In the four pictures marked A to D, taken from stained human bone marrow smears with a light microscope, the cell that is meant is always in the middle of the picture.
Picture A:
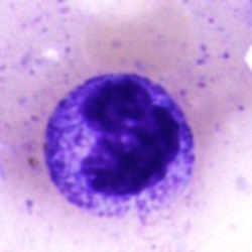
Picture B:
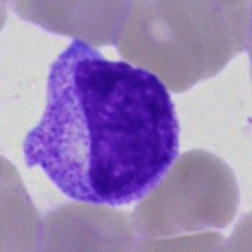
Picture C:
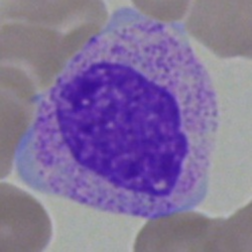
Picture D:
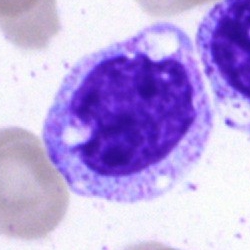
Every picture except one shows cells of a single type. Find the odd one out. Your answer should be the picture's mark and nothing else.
A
